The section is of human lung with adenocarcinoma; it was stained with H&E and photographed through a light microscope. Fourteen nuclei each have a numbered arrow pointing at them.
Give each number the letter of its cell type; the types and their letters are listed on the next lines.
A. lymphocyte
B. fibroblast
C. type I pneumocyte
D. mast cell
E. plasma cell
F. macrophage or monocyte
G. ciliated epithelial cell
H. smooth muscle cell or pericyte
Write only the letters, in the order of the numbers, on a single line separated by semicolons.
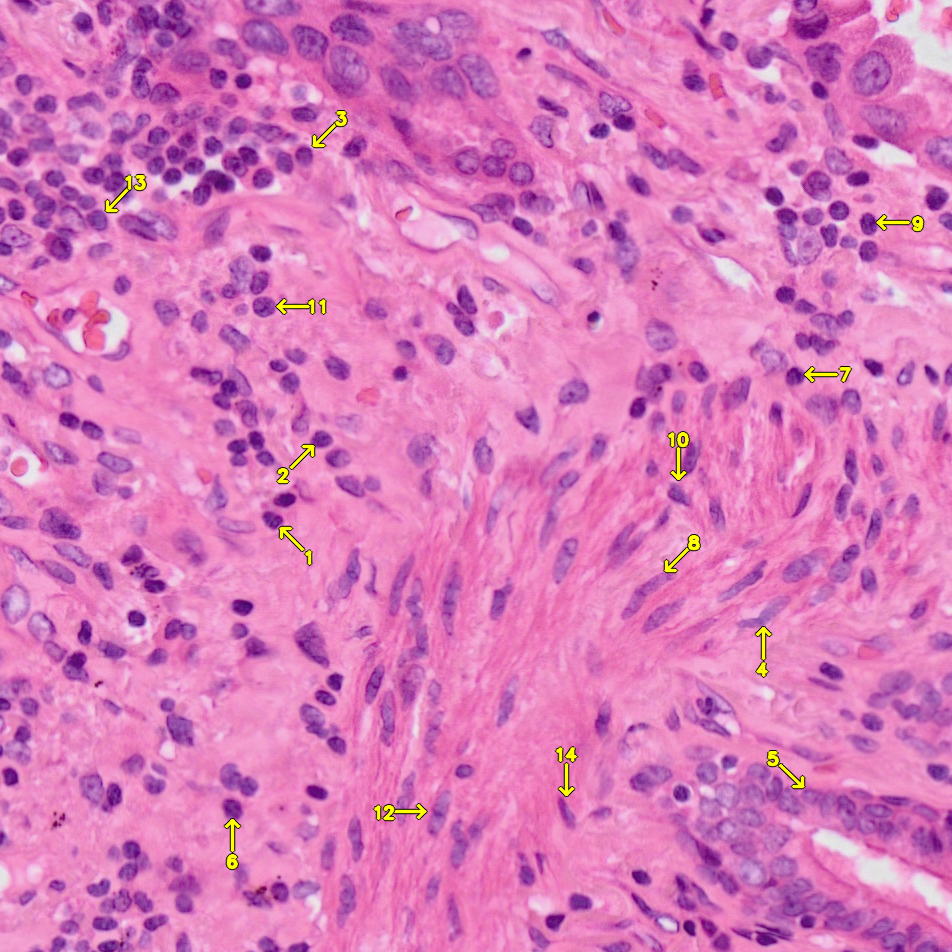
A; A; A; H; G; A; A; H; A; H; A; H; A; H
